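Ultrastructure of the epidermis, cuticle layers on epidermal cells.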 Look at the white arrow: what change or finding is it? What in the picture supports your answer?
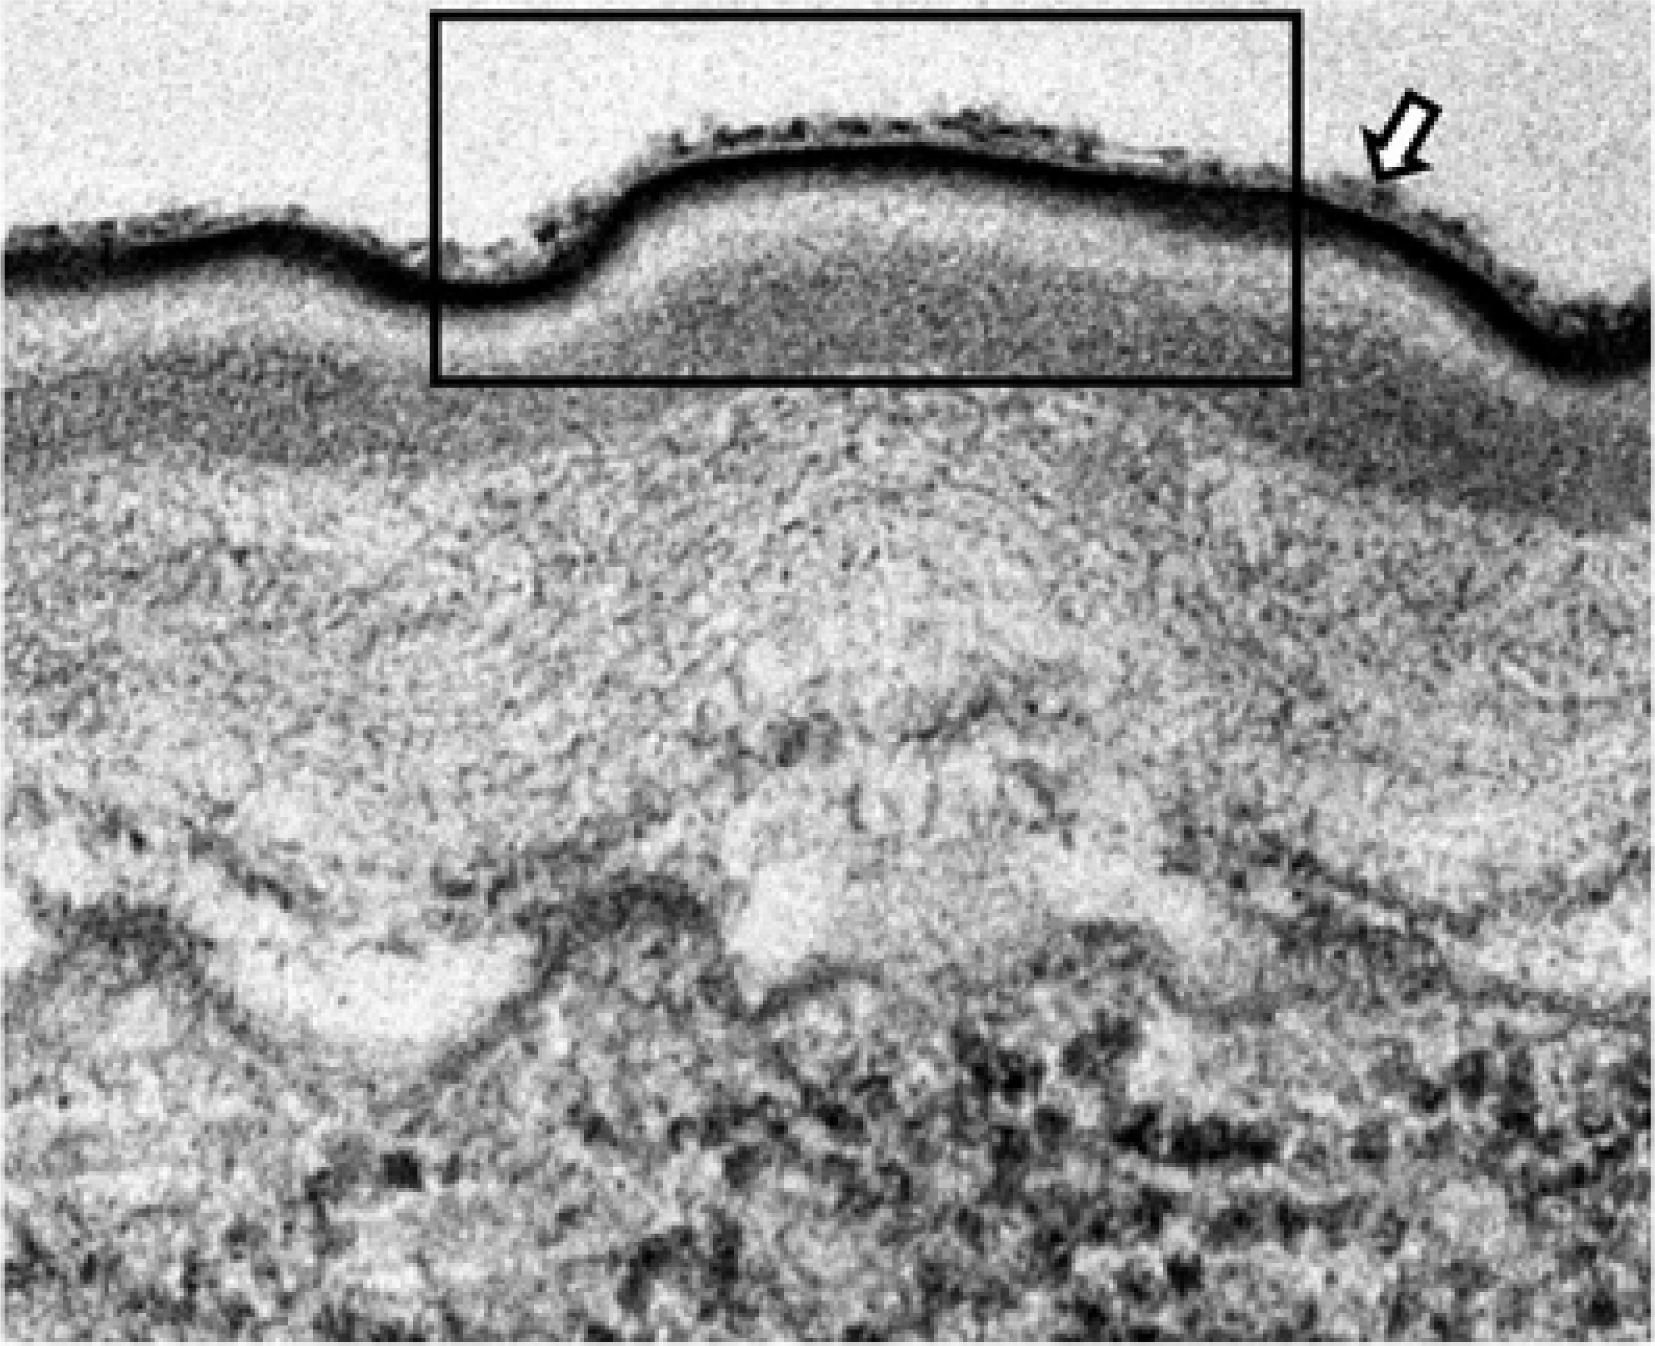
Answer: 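Disorganized. The outer surface of the dark top band is covered by small irregular dark granules. The outer edge of the band is rough rather than smooth.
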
